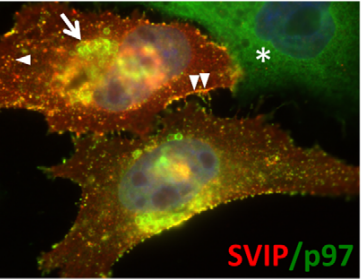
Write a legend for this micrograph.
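Two spread cultured cells with blue nuclei, where red and green labels largely overlap as yellow to orange. The label runs as a fine dotted rim along the plasma membrane at the cell edges, is scattered as small puncta through the cytoplasm, and beside the nucleus of the upper cell forms a cluster of ring-shaped juxtanuclear vacuoles. The nuclei show darker rounded nucleoli. To the upper right a neighbouring cell carries only faint, diffuse green without red, and no rim or rings.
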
